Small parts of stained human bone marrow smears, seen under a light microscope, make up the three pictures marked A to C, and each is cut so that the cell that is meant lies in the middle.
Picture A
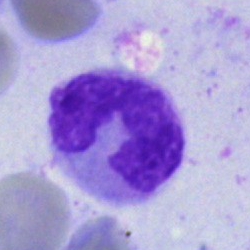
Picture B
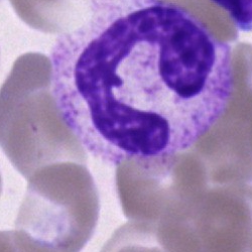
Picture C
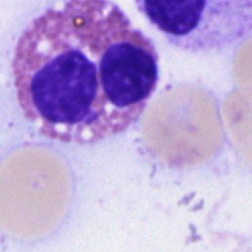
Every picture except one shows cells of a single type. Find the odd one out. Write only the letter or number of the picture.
C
